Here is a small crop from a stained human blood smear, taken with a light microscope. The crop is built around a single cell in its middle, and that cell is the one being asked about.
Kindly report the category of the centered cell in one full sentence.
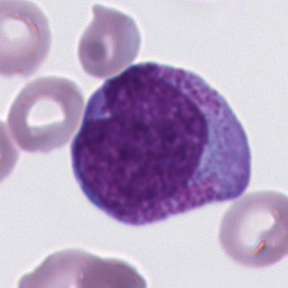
In the center of this field lies an atypical promyelocyte.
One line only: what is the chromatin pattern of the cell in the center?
Answer: the chromatin is fine and has no coarse clumps.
